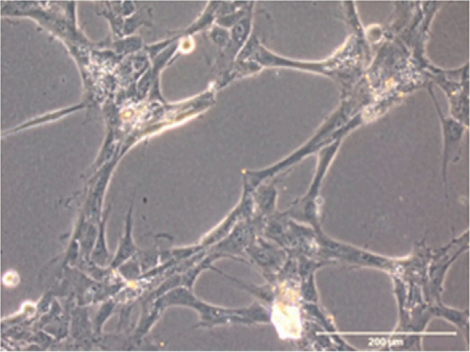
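Cultured cells seen in phase contrast are gathered into dense clumps joined by cords of elongated cells, forming a net around large rounded cell-free spaces. The clumps hold many bright, granular, crowded cells.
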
